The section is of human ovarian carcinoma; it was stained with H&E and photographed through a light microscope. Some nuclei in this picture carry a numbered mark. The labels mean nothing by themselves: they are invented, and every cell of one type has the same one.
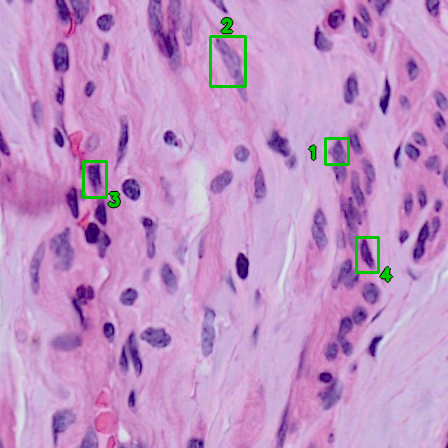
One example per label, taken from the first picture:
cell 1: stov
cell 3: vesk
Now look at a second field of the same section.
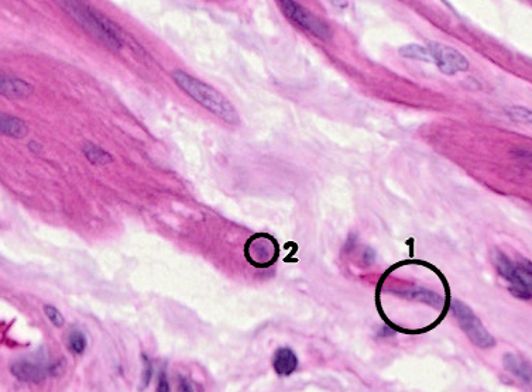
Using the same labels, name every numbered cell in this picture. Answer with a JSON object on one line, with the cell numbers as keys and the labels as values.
{"1": "vesk", "2": "stov"}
